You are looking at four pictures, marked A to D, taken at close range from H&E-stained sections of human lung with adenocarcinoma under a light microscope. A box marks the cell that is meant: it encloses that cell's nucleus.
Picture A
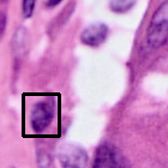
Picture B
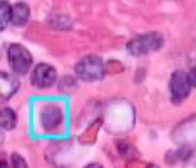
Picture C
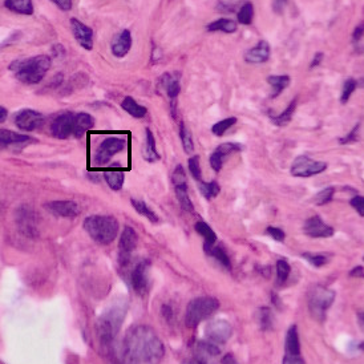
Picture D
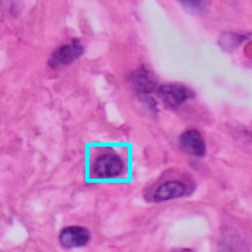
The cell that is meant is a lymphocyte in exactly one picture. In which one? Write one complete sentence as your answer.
Picture B shows the lymphocyte.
